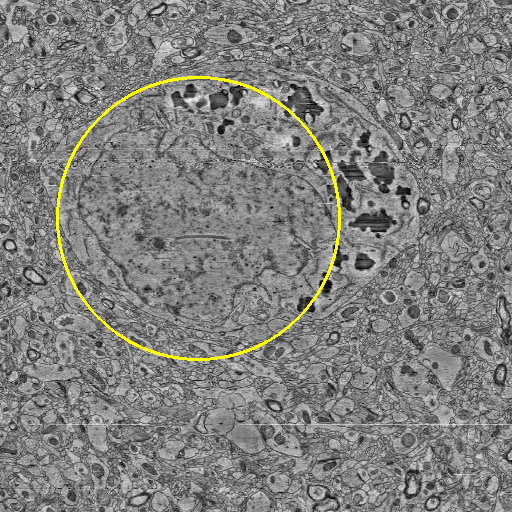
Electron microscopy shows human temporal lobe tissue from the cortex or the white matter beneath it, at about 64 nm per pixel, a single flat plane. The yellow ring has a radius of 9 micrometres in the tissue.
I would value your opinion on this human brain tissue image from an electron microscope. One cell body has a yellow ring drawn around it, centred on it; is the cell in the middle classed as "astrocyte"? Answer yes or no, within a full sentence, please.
No, I would class the cell in the middle of the ring as a different kind.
